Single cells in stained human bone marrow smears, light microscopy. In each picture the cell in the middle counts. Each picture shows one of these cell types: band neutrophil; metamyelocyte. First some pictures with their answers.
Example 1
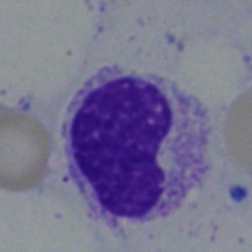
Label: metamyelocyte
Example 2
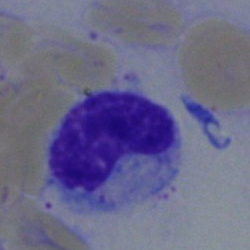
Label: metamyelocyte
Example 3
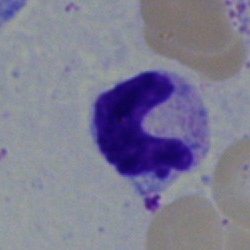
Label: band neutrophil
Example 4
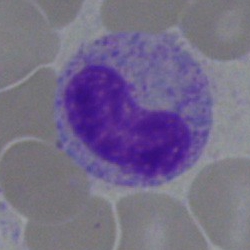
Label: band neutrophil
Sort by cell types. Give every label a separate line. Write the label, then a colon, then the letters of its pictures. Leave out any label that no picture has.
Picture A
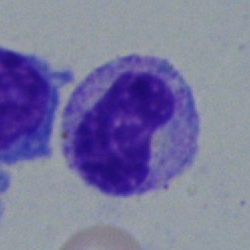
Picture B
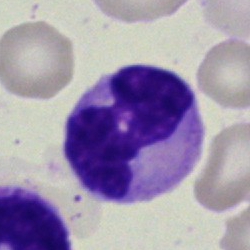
band neutrophil: B
metamyelocyte: A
